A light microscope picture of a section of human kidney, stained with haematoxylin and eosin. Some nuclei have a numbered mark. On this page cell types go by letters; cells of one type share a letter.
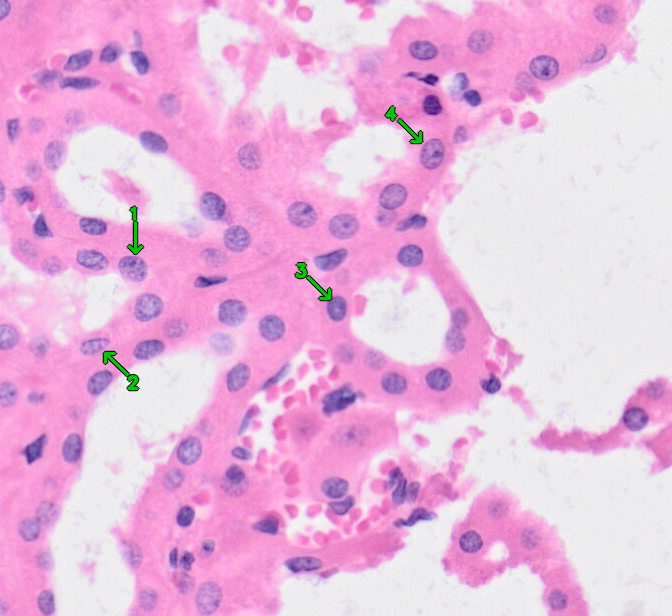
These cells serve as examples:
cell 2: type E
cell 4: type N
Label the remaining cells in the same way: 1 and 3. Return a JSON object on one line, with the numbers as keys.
{"1": "type E", "3": "type E"}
